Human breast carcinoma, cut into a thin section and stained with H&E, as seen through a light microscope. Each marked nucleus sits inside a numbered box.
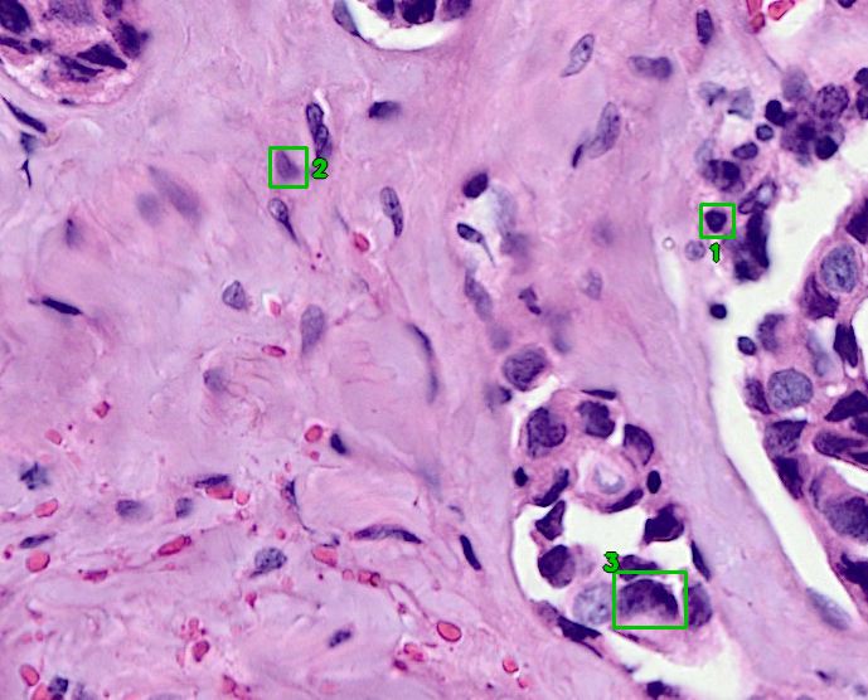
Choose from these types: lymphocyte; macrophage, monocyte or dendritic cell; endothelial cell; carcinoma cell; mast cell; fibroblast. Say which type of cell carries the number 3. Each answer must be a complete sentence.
The marked cell with the number 3 is recognised as a carcinoma cell.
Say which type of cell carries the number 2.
The cell pointed out by number 2 is a fibroblast.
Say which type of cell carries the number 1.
That cell with number 1 is a lymphocyte.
